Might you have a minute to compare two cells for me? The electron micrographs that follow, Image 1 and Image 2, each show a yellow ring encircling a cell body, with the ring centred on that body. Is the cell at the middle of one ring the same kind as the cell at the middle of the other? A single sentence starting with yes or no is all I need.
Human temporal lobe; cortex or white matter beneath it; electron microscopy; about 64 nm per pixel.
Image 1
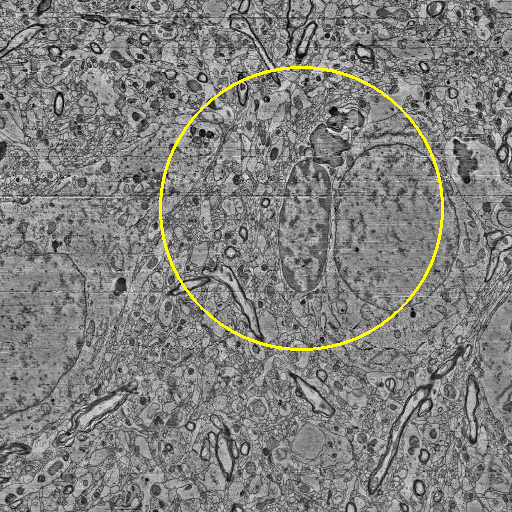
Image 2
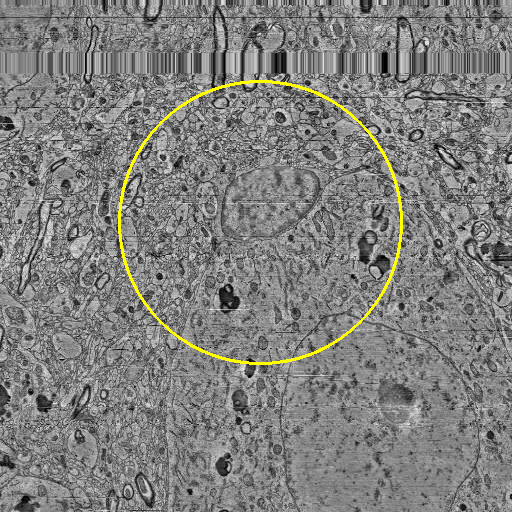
No, the cells in the middle of the two rings are of two separate kinds.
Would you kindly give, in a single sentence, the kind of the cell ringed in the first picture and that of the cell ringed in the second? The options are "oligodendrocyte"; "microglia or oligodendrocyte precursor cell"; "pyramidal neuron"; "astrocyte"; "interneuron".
The second cell is an oligodendrocyte, and the first cell is a microglial cell or oligodendrocyte precursor cell.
